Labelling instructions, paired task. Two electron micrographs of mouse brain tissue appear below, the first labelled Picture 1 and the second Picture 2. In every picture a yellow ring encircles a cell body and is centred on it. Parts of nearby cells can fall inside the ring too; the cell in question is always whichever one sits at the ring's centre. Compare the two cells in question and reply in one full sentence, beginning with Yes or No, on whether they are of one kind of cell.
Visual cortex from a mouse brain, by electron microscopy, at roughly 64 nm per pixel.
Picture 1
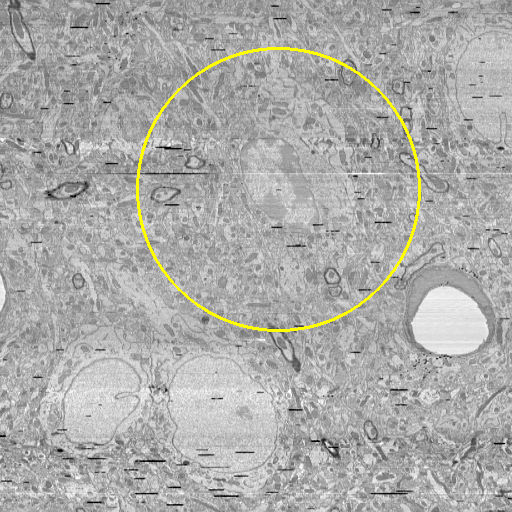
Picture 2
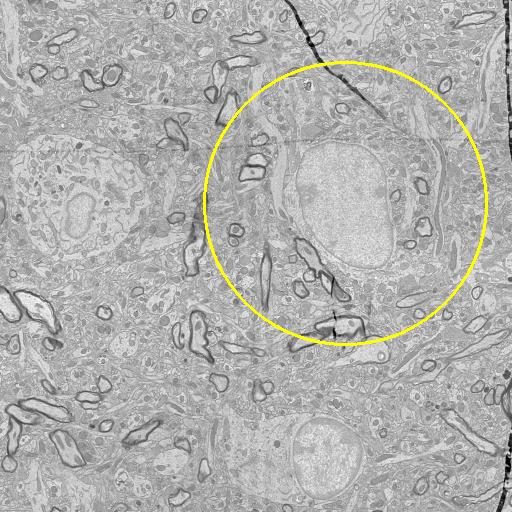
No, the two cells at the ring centres in Picture 1 and Picture 2 are of two kinds.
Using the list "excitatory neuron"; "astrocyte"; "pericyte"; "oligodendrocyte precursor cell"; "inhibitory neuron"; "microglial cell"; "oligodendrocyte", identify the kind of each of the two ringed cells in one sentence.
The first is an oligodendrocyte and the second is an astrocyte.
